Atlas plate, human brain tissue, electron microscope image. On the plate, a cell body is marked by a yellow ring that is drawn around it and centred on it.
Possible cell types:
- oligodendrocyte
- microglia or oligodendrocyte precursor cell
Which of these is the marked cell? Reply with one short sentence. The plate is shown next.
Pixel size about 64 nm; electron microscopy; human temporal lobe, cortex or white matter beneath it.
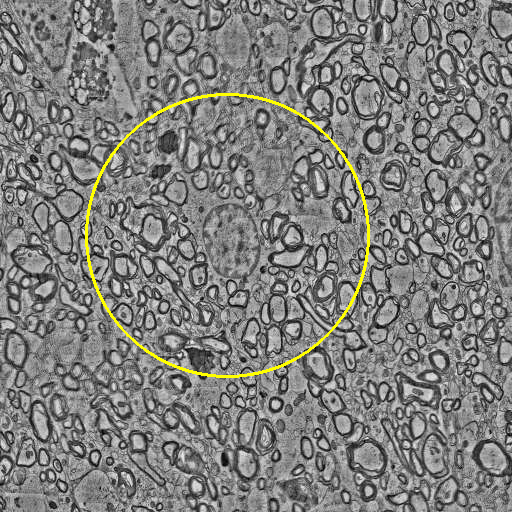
The marked cell is an oligodendrocyte.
